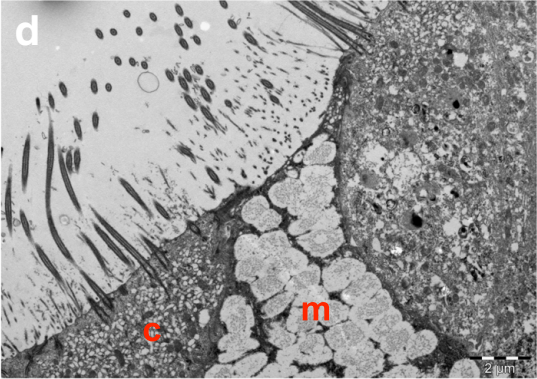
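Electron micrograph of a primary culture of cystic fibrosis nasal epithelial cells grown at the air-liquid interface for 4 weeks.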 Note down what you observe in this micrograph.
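The mucus-secreting cell is crowded with large pale granules, some merging, while the neighbouring cell bears long cilia cut along and across in the lumen. The cells are joined closely at their apical borders.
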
